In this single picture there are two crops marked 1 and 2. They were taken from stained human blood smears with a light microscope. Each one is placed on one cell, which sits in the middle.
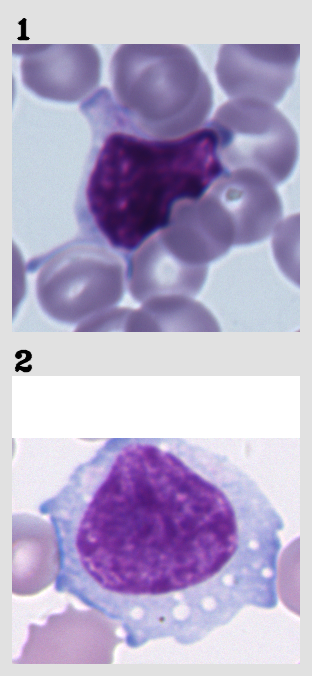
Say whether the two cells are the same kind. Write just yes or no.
no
